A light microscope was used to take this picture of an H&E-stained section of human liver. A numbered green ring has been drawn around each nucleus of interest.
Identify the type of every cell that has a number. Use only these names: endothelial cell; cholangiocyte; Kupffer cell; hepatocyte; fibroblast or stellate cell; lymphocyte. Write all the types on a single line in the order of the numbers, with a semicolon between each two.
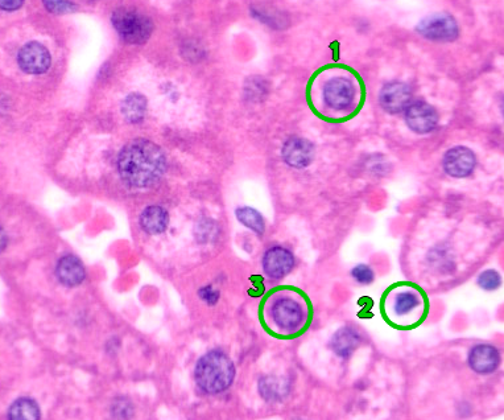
hepatocyte; lymphocyte; hepatocyte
